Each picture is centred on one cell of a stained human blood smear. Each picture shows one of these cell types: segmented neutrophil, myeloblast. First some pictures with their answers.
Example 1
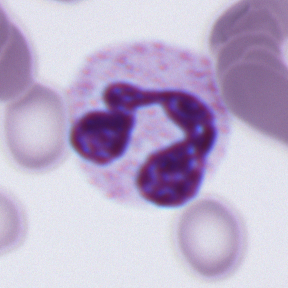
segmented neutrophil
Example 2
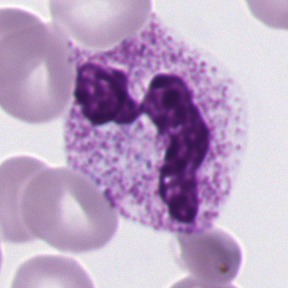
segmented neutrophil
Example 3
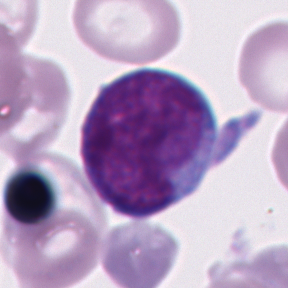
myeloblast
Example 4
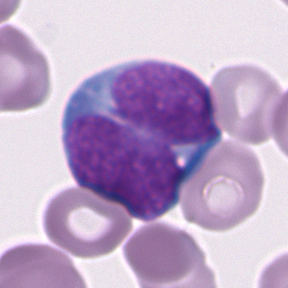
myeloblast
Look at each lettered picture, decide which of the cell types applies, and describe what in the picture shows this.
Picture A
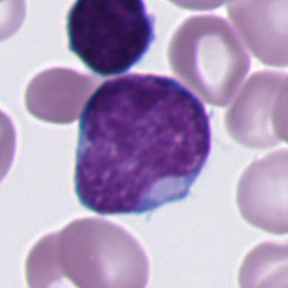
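myeloblast. Evidence: The nucleus fills most of the cell.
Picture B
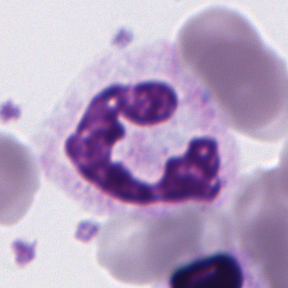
segmented neutrophil. Evidence: The nucleus is a curved band bent into a C shape whose open side faces right.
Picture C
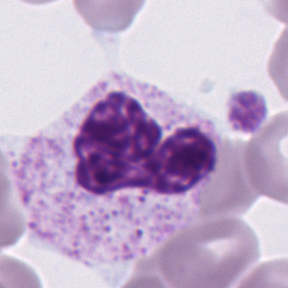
segmented neutrophil. Evidence: The nucleus forms two lobes, the left one larger than the right.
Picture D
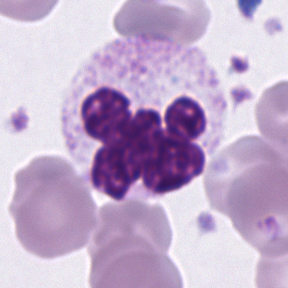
segmented neutrophil. Evidence: The cytoplasm is plentiful and very pale, almost colourless.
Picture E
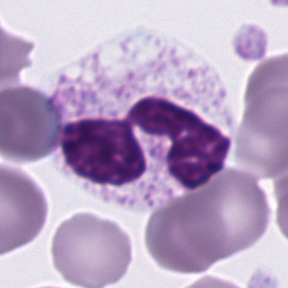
segmented neutrophil. Evidence: The cytoplasm is plentiful and very pale.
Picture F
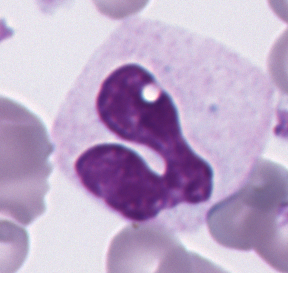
segmented neutrophil. Evidence: The cytoplasm is abundant and pale lilac-pink.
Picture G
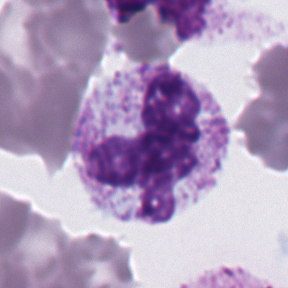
segmented neutrophil. Evidence: The nucleus is divided into several lobes joined to one another.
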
